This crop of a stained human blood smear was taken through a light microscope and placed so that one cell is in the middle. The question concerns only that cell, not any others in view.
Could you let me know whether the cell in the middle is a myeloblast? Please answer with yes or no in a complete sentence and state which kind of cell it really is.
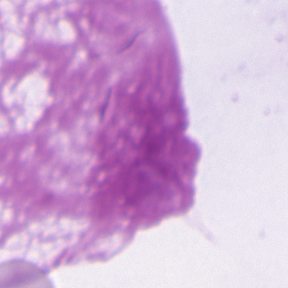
No, sorry, the middle cell is a smudge cell rather than a myeloblast.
